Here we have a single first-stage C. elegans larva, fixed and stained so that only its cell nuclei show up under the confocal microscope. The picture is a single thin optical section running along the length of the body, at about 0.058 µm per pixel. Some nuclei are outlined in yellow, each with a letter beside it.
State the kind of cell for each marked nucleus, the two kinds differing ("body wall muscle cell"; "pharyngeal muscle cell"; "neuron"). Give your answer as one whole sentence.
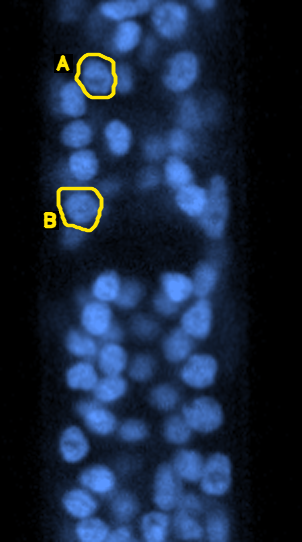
A is the nucleus of a pharyngeal muscle cell; B is the nucleus of a neuron.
